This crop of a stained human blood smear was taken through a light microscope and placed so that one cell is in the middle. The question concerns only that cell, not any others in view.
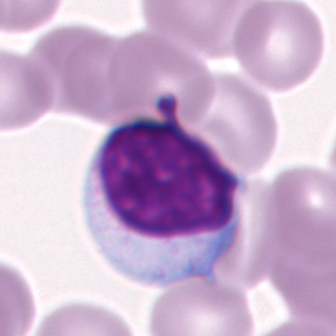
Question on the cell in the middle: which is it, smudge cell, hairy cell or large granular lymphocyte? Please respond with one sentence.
In the center of this field lies a large granular lymphocyte.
